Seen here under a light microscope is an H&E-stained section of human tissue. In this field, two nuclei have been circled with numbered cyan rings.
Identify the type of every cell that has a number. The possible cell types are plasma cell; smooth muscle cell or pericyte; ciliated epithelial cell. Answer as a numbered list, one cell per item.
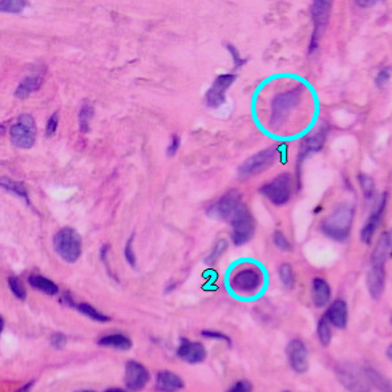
1. smooth muscle cell or pericyte
2. plasma cell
